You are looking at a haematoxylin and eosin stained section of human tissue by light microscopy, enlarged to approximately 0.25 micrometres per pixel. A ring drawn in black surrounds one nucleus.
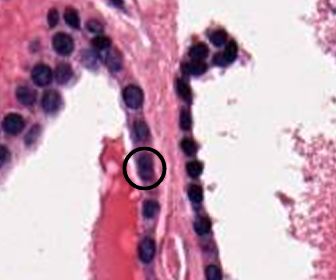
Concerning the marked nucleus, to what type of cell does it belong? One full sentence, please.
The owner of the marked nucleus is a thyroid follicular cell.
